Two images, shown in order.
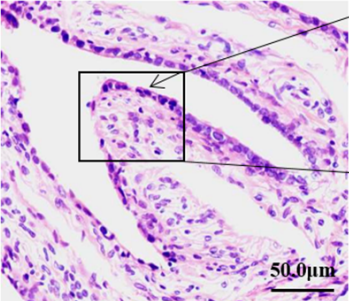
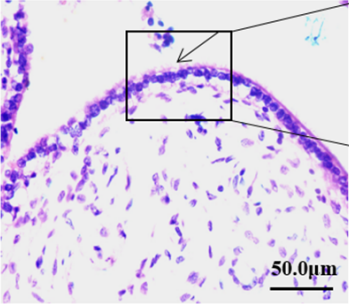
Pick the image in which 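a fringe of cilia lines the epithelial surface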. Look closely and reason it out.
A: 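The second image. First image: the epithelial surface at the arrow is bare, with no clear apical fringe. Second image: a continuous thin pink fringe lies along the apical surface of the epithelium.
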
